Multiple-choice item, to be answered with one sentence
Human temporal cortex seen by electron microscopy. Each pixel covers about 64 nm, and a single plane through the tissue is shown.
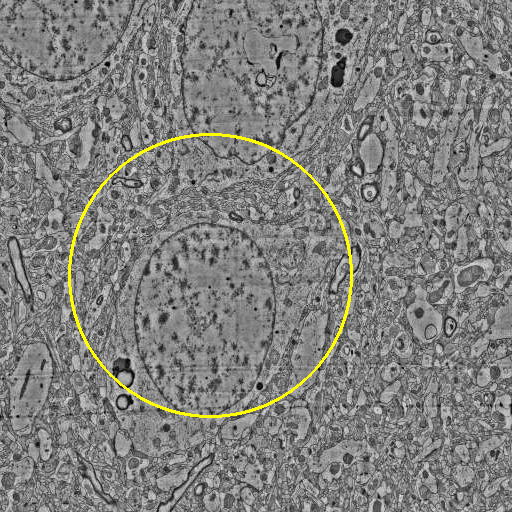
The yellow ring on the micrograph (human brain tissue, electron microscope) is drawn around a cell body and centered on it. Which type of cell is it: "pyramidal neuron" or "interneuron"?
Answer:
The ring is centered on a pyramidal neuron.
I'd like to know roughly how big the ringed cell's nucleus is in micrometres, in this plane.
The nucleus of the ringed cell is approximately 12 by 9 micrometres in this plane.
